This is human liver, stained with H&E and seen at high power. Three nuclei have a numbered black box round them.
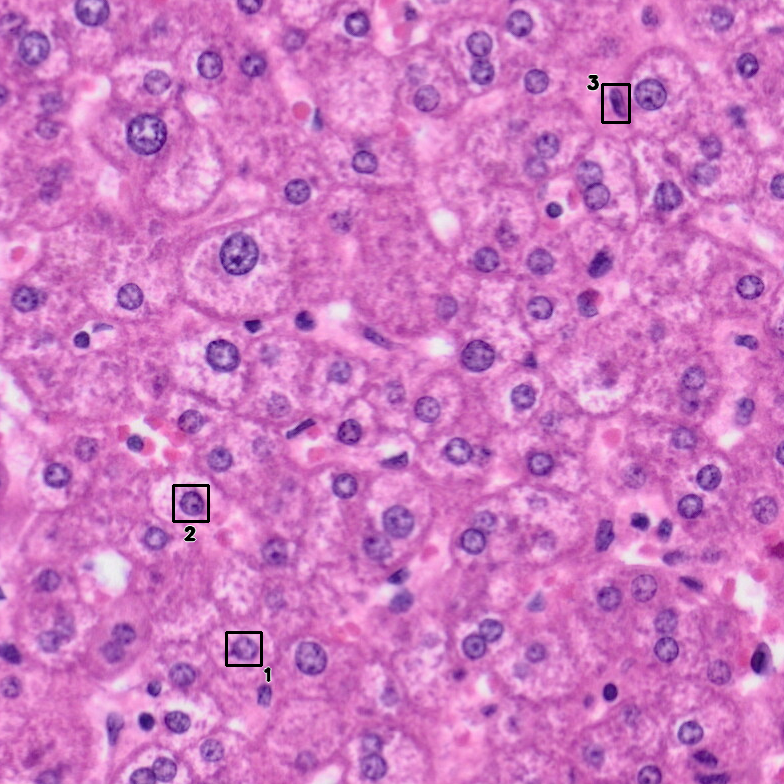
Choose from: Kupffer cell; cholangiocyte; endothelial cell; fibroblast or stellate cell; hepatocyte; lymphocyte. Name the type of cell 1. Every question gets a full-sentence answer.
The numeral 1 marks a hepatocyte in this section.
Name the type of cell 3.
Looking at the numbered marks, cell 3 is an endothelial cell.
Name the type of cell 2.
The numbered cell 2 in this field is a hepatocyte.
